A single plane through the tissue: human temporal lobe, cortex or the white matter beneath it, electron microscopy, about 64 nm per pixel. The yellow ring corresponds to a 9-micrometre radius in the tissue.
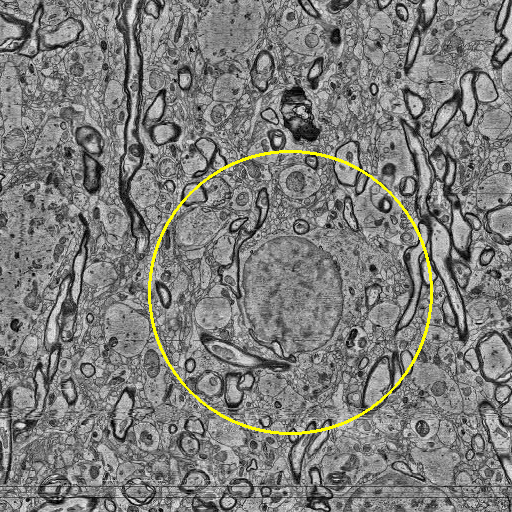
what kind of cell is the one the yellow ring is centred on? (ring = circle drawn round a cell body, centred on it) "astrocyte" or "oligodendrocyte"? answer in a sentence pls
The ring is drawn around an oligodendrocyte.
